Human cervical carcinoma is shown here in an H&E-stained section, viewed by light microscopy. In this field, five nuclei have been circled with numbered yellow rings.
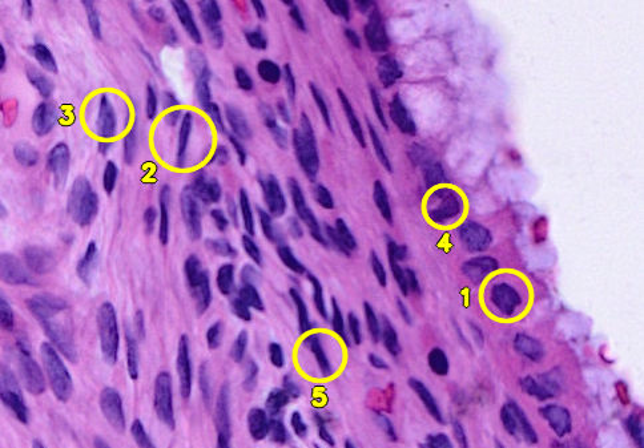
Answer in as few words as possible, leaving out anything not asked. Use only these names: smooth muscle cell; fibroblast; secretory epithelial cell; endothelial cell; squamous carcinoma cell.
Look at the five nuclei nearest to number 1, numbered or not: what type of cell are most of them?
secretory epithelial cell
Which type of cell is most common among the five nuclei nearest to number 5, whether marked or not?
fibroblast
